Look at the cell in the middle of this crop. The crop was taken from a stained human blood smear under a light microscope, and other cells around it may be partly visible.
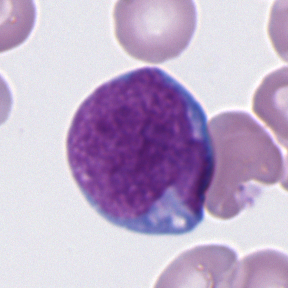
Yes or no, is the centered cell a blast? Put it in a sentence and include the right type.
Yes, the identity of the central cell is that of a blast.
